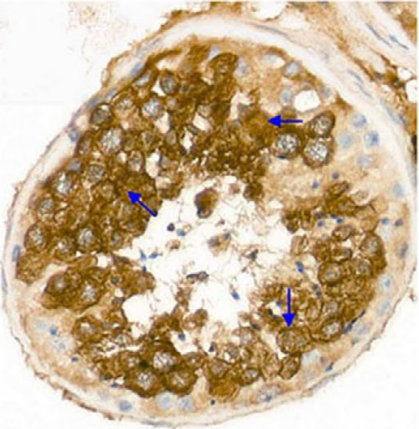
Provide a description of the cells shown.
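A cross-section of a seminiferous tubule in which the epithelium is crowded with large, round spermatocytes. Their cytoplasm stains intensely brown, and their large round nuclei show a granular, speckled chromatin pattern. These cells form a thick, multilayered ring in the middle of the epithelium. Along the basement membrane lie smaller cells with blue, unstained nuclei, and flattened blue nuclei of peritubular cells surround the tubule. The lumen in the centre is open and contains loose, lightly stained material.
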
